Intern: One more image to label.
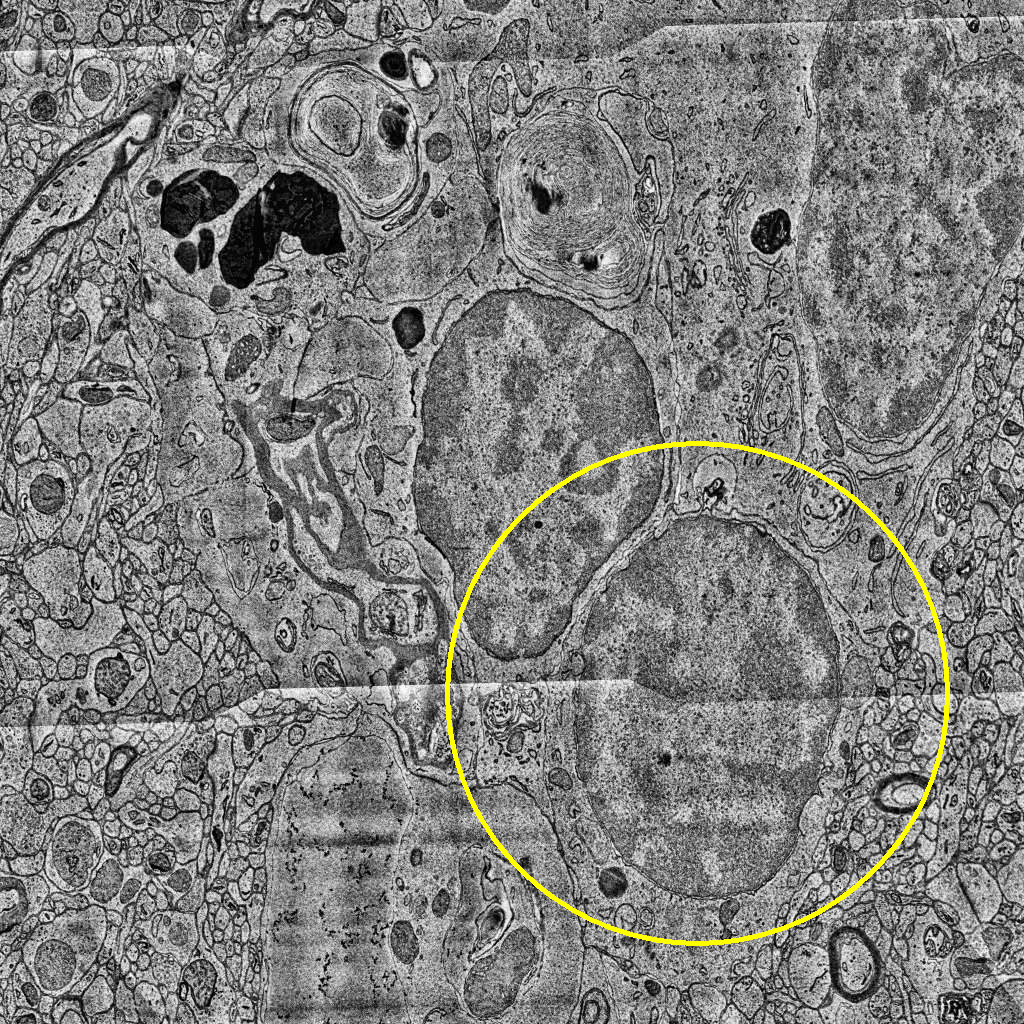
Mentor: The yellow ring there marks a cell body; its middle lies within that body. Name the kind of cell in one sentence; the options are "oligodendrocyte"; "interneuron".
The ring marks the cell body of an oligodendrocyte.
